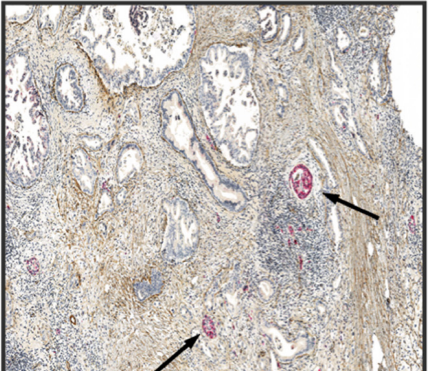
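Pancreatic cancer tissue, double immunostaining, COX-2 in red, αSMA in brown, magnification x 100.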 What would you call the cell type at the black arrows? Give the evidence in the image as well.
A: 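Islet cells. The arrows point to small, compact round cell clusters stained red. The clusters lie within stroma apart from the larger glandular ducts. The surrounding ducts are unstained by the red colour.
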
